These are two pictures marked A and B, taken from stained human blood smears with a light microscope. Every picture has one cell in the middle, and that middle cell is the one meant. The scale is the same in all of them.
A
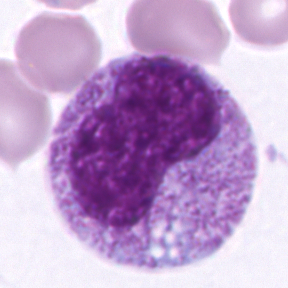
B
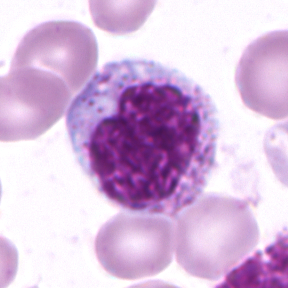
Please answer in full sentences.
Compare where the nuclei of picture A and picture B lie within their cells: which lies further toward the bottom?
It is the nucleus in picture B that lies further toward the bottom of its cell.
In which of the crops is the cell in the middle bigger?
Picture A holds the larger cell; it covers about 2 times the area of the cell in picture B.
